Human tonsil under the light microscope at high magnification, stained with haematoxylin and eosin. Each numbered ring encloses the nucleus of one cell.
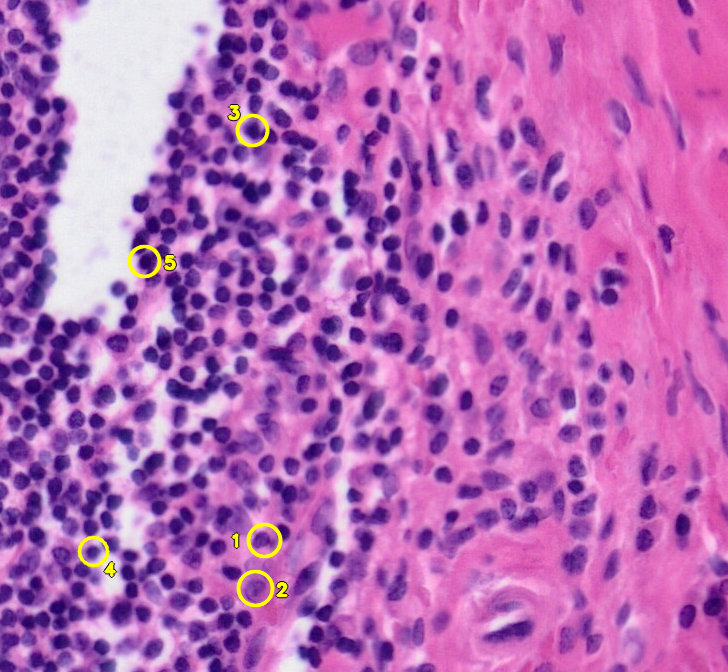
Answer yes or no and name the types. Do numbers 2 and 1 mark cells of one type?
Yes, both are endothelial cells.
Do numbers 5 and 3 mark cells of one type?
Yes, both are small lymphocytes.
